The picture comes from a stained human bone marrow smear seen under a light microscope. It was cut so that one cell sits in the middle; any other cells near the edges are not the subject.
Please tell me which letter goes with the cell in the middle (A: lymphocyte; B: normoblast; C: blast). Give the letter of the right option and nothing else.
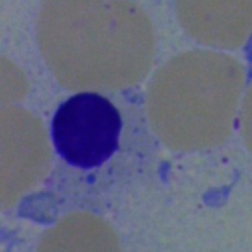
A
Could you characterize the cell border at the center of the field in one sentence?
Smooth edges only, with no spikes, blebs, or other projections.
